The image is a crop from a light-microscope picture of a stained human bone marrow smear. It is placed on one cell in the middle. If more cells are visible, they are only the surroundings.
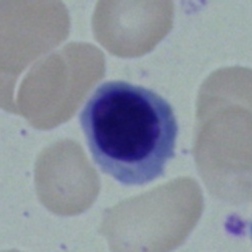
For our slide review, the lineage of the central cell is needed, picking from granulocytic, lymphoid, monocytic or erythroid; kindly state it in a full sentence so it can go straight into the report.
The central cell of this crop is a member of the erythroid line of development.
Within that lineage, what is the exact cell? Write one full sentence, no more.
The center cell of this crop is an erythroblast.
